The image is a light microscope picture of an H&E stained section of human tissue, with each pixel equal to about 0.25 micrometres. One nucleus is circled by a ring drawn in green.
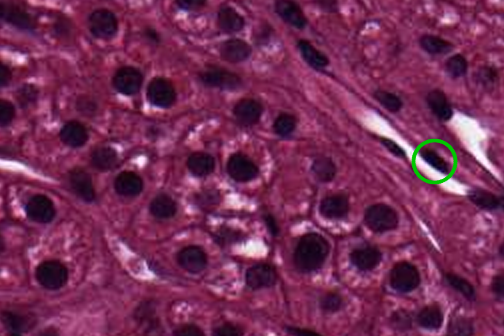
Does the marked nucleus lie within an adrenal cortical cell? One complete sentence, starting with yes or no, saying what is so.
No, the marked nucleus is located in a supporting cell and not in an adrenal cortical cell.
